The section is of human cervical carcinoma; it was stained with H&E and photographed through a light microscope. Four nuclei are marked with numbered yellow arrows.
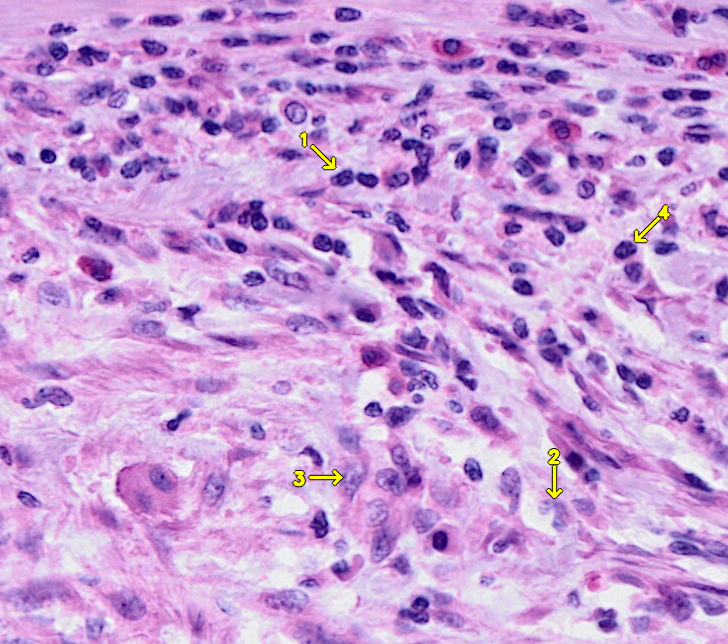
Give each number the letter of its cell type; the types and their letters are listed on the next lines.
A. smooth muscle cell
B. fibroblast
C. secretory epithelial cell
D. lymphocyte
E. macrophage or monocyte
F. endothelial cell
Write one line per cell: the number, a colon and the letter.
1: D
2: B
3: F
4: D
